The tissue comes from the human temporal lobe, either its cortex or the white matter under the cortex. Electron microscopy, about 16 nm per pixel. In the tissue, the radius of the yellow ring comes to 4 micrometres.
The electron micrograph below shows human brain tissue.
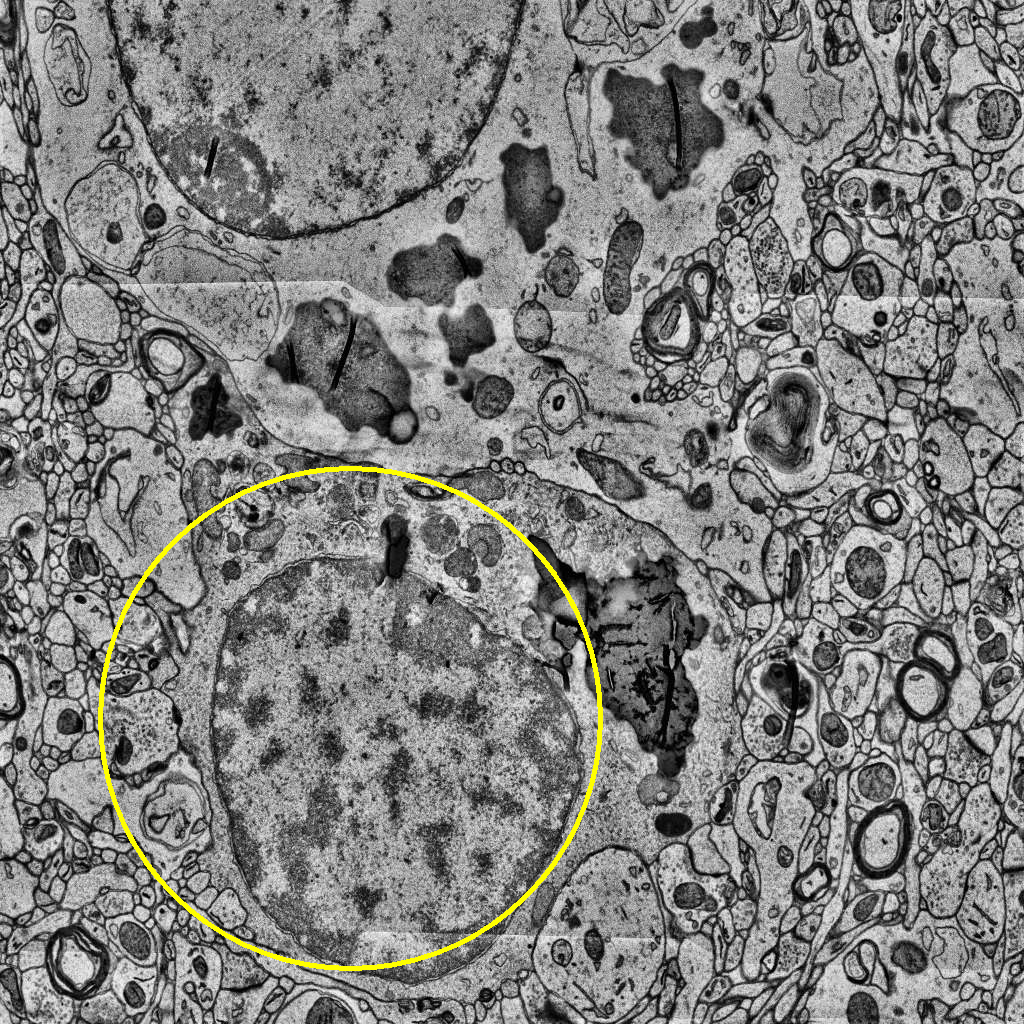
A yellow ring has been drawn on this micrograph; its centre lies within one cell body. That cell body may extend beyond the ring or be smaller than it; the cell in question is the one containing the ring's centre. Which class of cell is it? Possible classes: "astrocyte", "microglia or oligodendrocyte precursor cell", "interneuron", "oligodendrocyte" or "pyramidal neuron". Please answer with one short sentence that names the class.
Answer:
In the centre of the ring sits an oligodendrocyte.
